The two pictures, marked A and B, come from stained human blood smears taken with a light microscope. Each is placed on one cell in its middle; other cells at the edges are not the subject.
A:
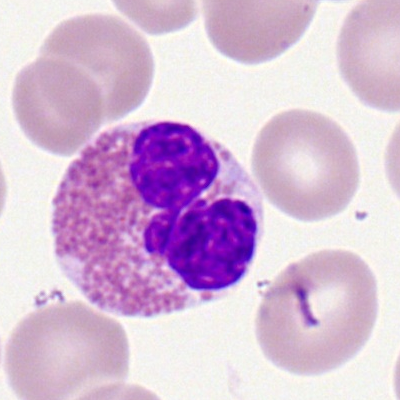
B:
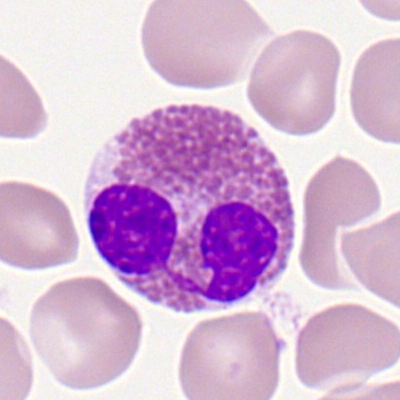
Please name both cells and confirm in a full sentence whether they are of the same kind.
Yes, the central cells in both crops are eosinophils.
